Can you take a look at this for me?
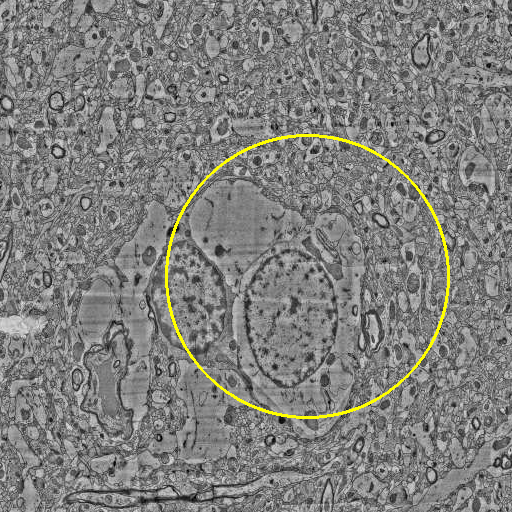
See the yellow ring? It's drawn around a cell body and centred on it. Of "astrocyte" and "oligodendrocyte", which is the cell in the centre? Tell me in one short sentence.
The one in the centre is an astrocyte.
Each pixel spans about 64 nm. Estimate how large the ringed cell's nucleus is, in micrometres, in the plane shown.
The nucleus measures about 9 by 6 micrometres in this plane.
